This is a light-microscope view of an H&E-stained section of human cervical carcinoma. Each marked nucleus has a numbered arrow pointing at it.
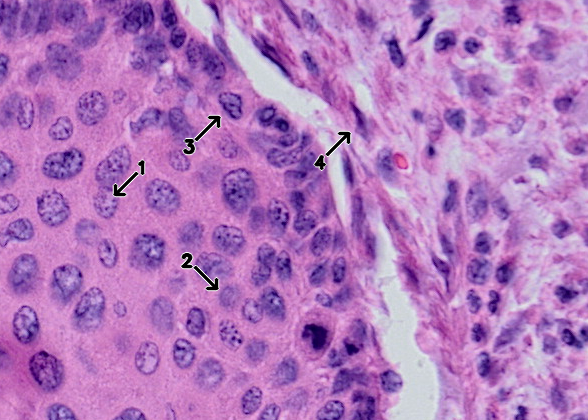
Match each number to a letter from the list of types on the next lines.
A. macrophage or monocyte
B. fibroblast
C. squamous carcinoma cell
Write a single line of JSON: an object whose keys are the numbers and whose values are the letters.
{"1": "C", "2": "C", "3": "C", "4": "B"}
